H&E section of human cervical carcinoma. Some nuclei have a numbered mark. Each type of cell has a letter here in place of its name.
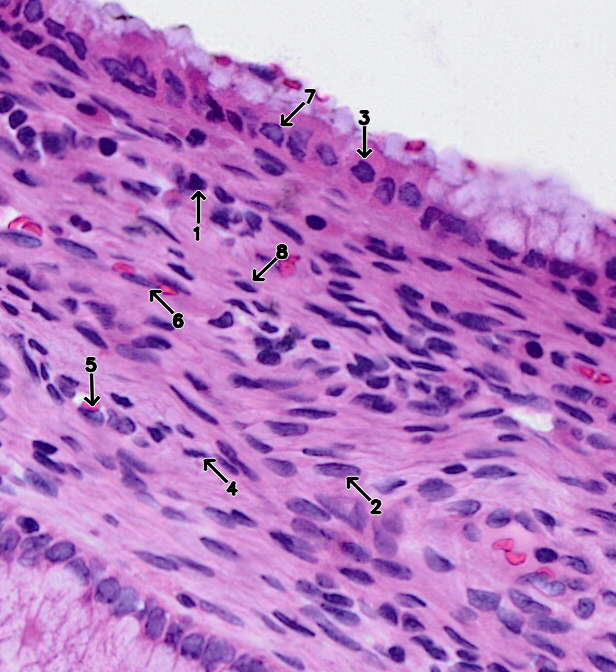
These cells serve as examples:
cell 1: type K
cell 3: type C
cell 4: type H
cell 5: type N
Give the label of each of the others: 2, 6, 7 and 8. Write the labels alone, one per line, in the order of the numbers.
type H
type N
type C
type H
